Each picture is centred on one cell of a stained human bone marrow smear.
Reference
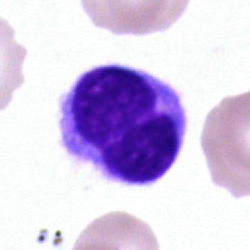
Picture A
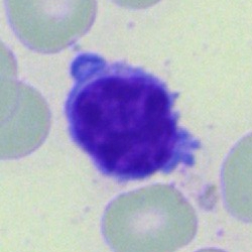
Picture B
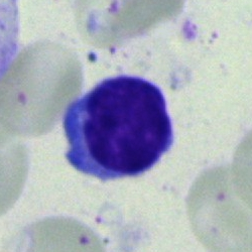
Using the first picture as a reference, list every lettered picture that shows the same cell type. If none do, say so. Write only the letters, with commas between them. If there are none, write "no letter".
A, B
